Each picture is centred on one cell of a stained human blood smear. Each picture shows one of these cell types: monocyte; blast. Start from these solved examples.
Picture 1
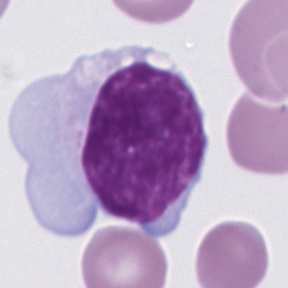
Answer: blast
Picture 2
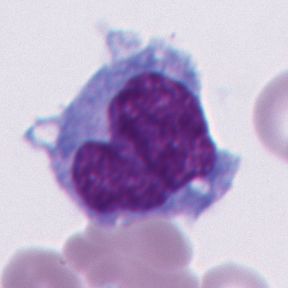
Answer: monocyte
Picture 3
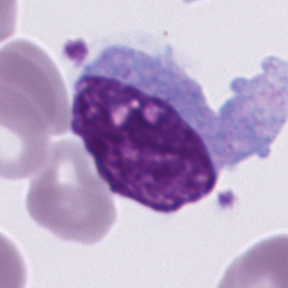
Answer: monocyte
